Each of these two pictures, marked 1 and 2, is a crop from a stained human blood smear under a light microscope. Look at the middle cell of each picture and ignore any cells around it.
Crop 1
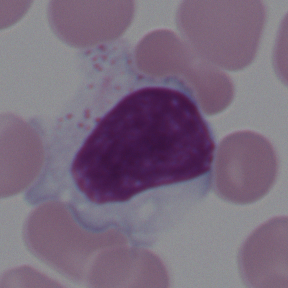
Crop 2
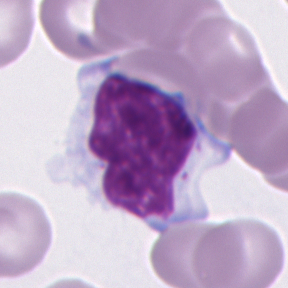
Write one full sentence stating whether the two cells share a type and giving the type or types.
Yes, both of the crops in this pair show large granular lymphocytes, one cell in each crop.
